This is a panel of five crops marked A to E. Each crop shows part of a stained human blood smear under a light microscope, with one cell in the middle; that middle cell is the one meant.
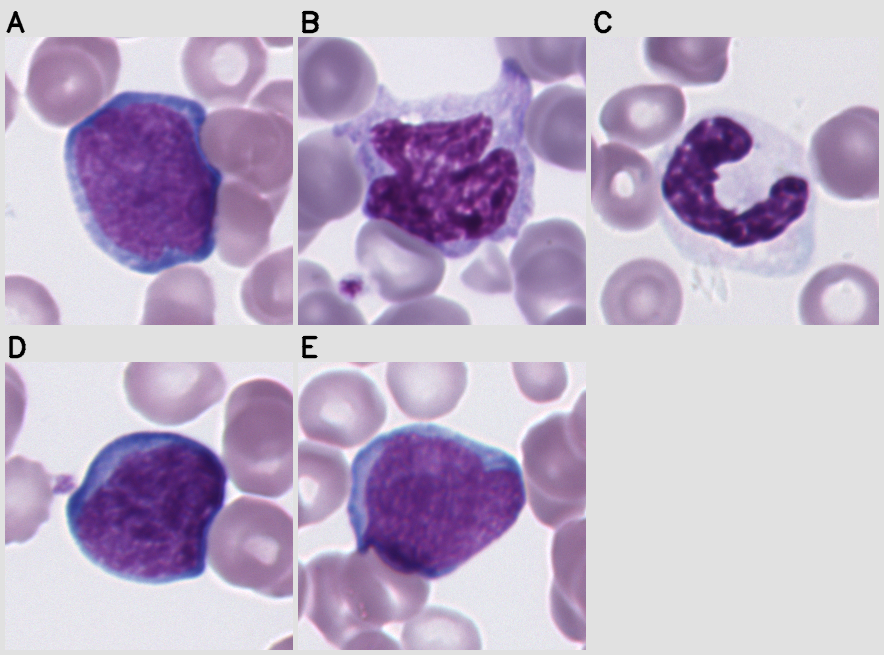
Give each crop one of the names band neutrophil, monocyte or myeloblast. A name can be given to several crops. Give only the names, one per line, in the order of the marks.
myeloblast
monocyte
band neutrophil
myeloblast
myeloblast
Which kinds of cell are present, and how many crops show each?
myeloblast: 3
monocyte: 1
band neutrophil: 1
